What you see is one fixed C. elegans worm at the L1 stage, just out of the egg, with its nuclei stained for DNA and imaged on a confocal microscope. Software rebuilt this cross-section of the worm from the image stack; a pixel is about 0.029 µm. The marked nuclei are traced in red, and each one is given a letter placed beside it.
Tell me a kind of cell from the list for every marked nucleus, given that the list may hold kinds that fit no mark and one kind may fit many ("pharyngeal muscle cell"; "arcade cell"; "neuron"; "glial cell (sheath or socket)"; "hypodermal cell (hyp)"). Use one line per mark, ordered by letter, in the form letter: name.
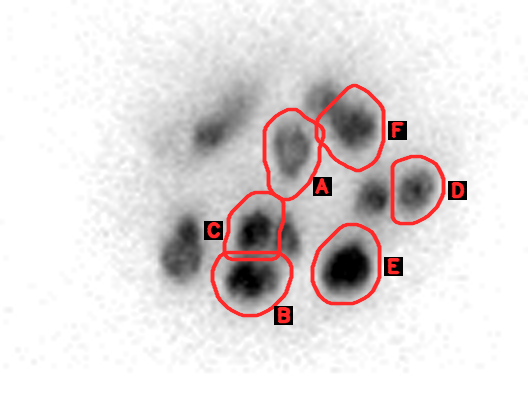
A: pharyngeal muscle cell
B: glial cell (sheath or socket)
C: neuron
D: hypodermal cell (hyp)
E: arcade cell
F: glial cell (sheath or socket)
